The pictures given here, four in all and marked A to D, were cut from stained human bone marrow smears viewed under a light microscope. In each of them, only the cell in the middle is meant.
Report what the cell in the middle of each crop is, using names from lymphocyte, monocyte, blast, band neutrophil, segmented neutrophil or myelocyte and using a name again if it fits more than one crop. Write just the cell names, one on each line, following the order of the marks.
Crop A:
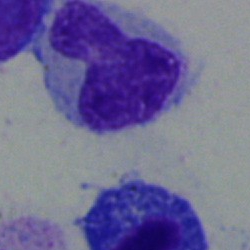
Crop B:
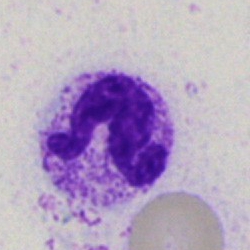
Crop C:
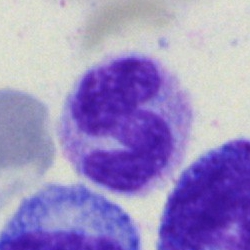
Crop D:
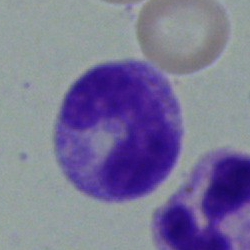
monocyte
segmented neutrophil
monocyte
band neutrophil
